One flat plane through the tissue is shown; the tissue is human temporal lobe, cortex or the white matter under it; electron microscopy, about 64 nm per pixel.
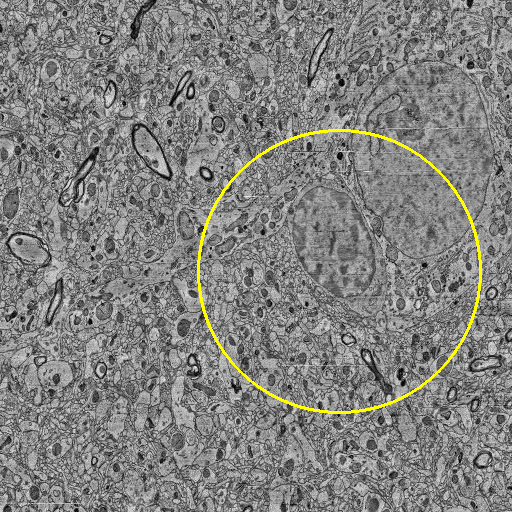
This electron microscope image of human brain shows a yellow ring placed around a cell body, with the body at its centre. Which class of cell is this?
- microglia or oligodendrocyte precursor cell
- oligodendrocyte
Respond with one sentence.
The cell body at the ring's centre is an oligodendrocyte.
